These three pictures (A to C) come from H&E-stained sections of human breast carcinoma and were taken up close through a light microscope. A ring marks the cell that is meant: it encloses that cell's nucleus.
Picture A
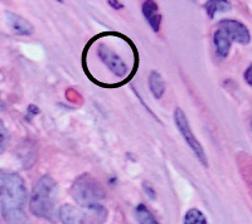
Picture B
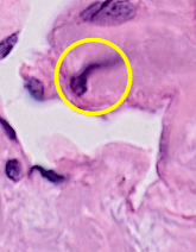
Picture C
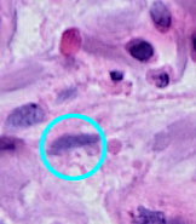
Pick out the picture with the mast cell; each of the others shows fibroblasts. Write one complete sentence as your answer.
The mast cell is the one in picture A.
